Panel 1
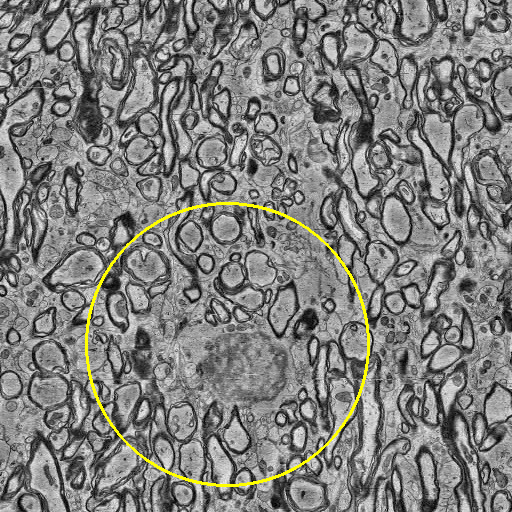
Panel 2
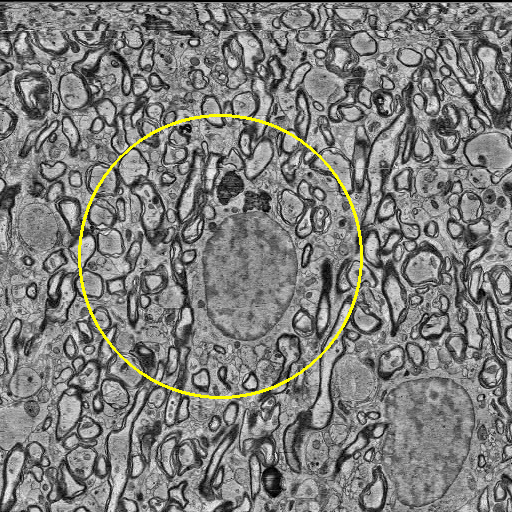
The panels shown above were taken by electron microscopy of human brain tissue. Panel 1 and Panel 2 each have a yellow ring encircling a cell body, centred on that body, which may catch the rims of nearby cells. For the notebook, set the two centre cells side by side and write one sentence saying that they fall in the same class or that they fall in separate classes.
The centred cells of Panel 1 and Panel 2 fall in the same class.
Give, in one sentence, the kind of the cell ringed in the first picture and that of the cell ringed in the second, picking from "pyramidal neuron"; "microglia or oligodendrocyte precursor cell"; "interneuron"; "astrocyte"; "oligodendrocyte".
Each cell at the centre of a ring is an oligodendrocyte.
